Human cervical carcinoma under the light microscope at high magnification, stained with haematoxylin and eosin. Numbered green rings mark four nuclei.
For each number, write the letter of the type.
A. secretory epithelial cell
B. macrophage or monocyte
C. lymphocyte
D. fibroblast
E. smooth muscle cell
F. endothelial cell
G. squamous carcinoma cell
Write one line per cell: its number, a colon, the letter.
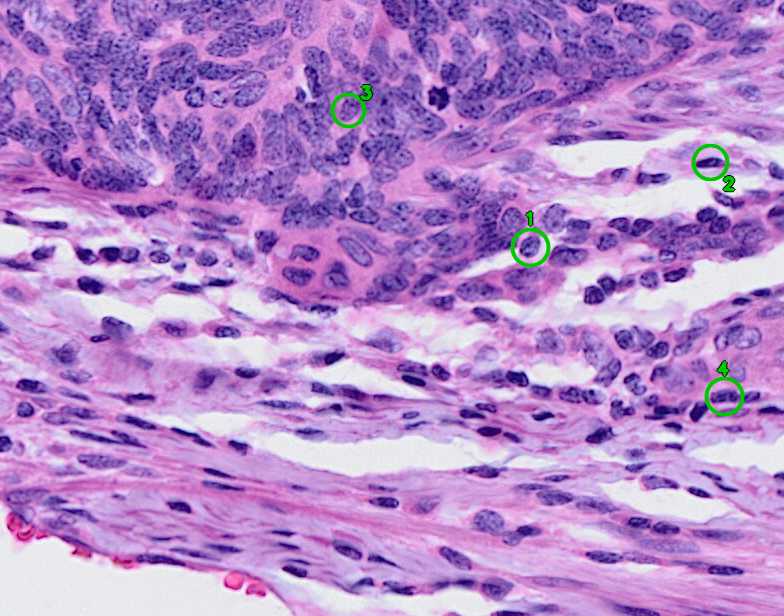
1: C
2: C
3: G
4: C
